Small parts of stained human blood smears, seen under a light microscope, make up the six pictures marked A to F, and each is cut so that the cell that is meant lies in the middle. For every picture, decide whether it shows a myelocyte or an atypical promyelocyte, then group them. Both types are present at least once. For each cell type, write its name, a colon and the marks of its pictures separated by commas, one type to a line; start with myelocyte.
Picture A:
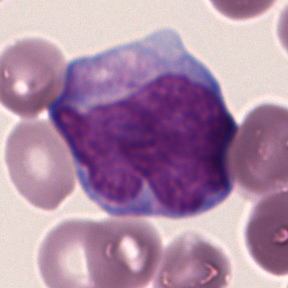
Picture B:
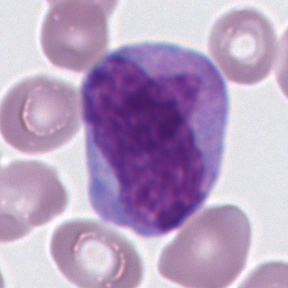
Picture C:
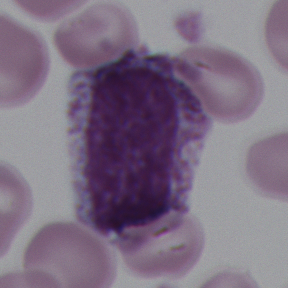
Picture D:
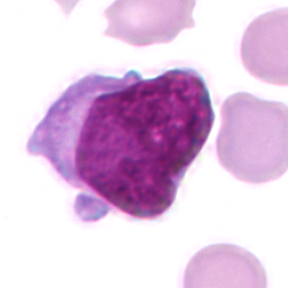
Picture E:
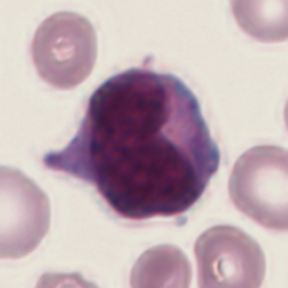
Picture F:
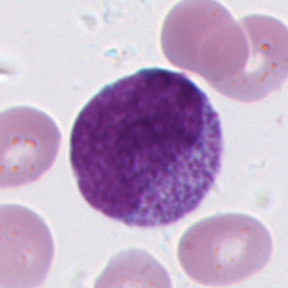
myelocyte: C, F
atypical promyelocyte: A, B, D, E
